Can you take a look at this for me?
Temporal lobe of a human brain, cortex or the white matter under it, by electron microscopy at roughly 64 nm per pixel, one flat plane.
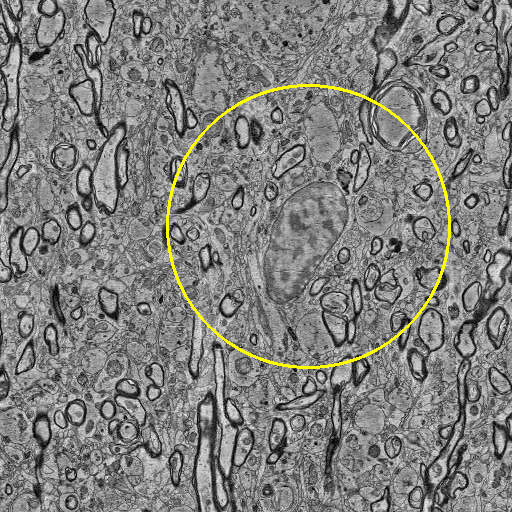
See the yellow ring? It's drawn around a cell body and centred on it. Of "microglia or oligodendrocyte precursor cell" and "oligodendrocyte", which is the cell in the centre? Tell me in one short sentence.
The one in the centre is a microglial cell or oligodendrocyte precursor cell.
